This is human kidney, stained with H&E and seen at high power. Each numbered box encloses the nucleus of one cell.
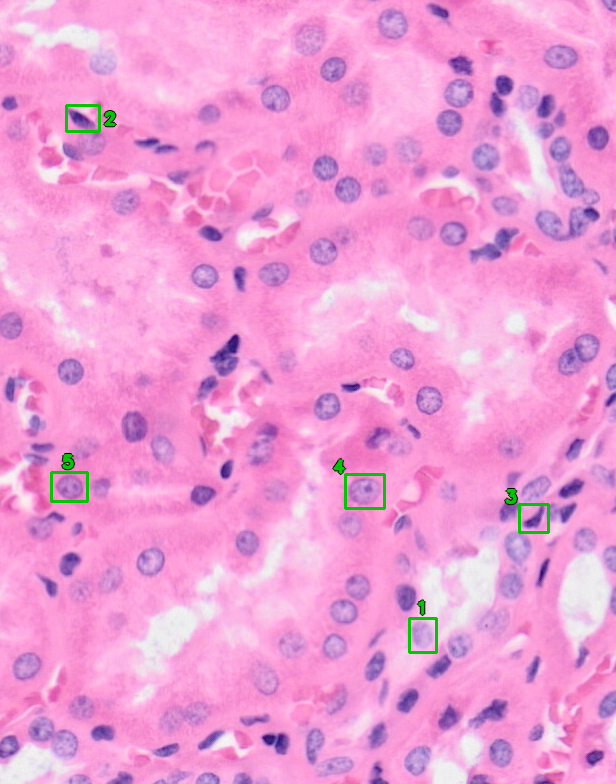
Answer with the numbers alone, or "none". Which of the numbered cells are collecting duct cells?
1, 3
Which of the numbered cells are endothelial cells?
2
